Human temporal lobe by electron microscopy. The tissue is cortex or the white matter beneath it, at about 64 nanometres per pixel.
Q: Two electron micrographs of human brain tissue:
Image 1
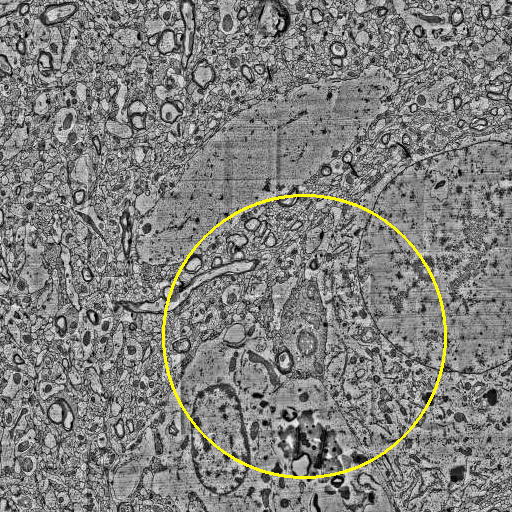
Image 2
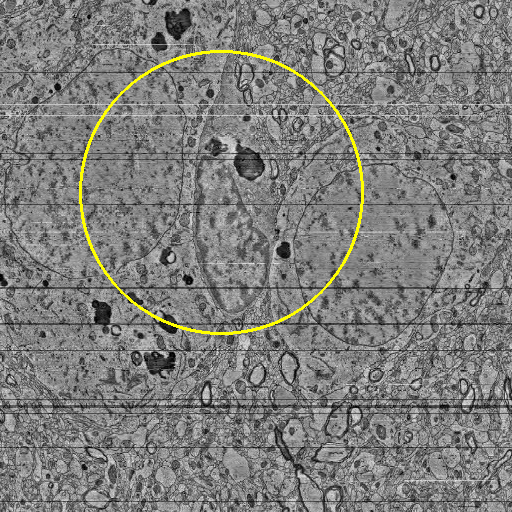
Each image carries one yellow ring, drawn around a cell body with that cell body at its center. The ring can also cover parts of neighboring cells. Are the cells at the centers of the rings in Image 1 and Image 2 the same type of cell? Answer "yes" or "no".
yes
